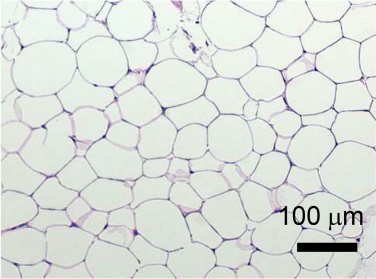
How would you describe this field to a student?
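Closely packed rounded to polygonal cells with empty, unstained interiors are outlined by thin purple rims. The cells vary in size, and a few small dark nuclei are flattened against their borders. These are adipocytes of white adipose tissue, whose large lipid droplets have been washed out, leaving empty spaces.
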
